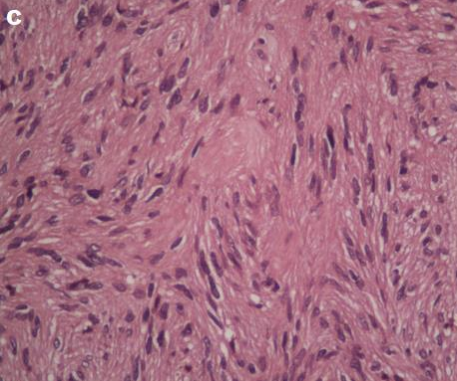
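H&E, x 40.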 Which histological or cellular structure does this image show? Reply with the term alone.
palisading nuclei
